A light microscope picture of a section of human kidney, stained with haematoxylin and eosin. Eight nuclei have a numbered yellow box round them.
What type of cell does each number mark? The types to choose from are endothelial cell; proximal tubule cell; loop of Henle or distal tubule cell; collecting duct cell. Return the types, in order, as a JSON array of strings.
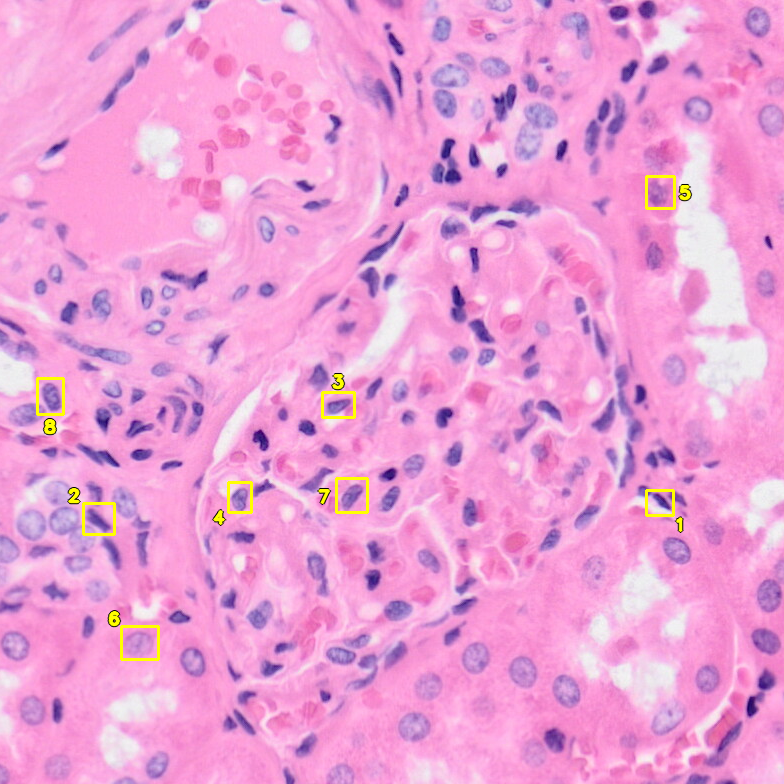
["endothelial cell", "collecting duct cell", "endothelial cell", "endothelial cell", "proximal tubule cell", "proximal tubule cell", "endothelial cell", "collecting duct cell"]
